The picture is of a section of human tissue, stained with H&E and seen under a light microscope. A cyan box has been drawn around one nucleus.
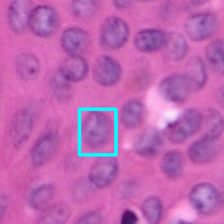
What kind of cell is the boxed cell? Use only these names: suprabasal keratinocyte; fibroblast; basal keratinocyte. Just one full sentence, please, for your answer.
In this section of tissue, the boxed cell is a suprabasal keratinocyte.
